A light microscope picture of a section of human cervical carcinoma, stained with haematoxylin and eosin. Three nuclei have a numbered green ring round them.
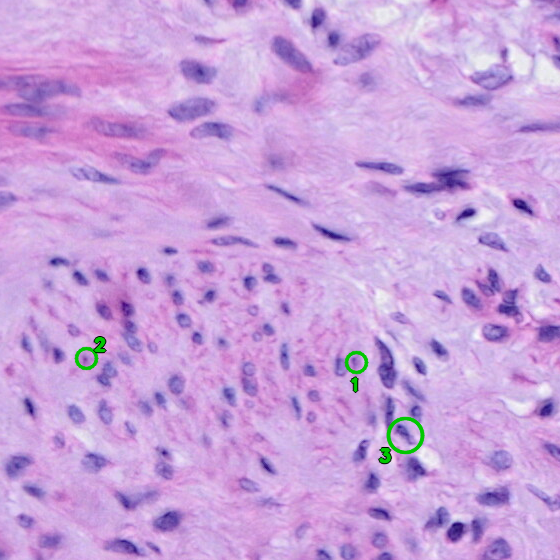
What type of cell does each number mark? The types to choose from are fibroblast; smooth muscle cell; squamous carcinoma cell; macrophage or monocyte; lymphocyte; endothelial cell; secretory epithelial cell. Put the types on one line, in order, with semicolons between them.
smooth muscle cell; smooth muscle cell; fibroblast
